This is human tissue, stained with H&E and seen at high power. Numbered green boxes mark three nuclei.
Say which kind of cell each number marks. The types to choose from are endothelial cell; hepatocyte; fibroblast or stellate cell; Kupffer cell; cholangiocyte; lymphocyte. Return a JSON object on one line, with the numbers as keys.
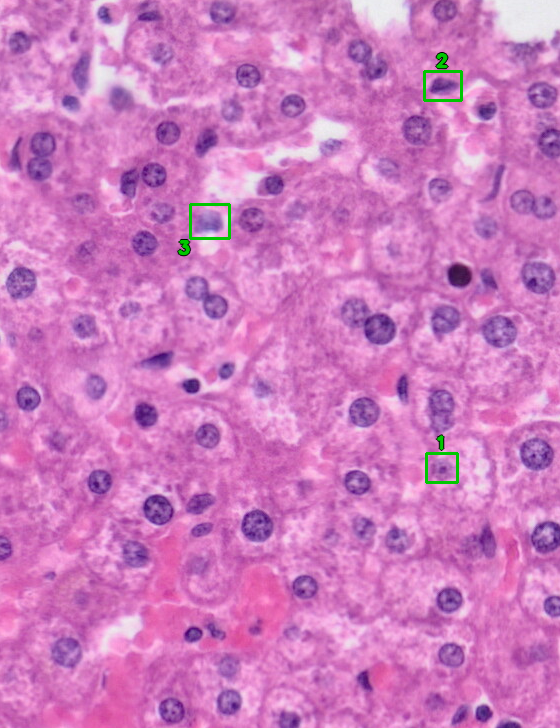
{"1": "hepatocyte", "2": "endothelial cell", "3": "endothelial cell"}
